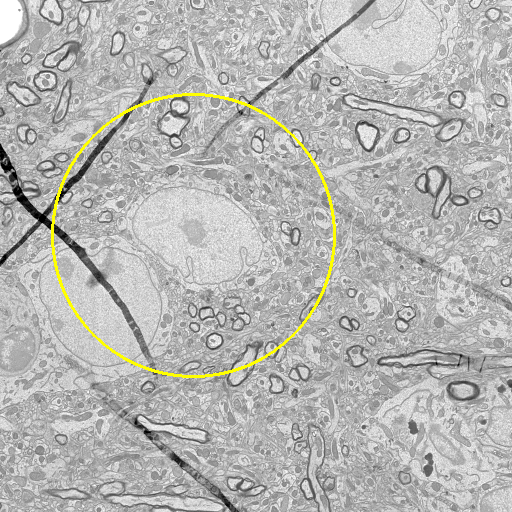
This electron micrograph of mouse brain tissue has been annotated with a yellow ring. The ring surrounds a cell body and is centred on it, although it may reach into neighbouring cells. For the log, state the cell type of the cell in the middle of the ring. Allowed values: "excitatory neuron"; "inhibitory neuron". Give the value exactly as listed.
inhibitory neuron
